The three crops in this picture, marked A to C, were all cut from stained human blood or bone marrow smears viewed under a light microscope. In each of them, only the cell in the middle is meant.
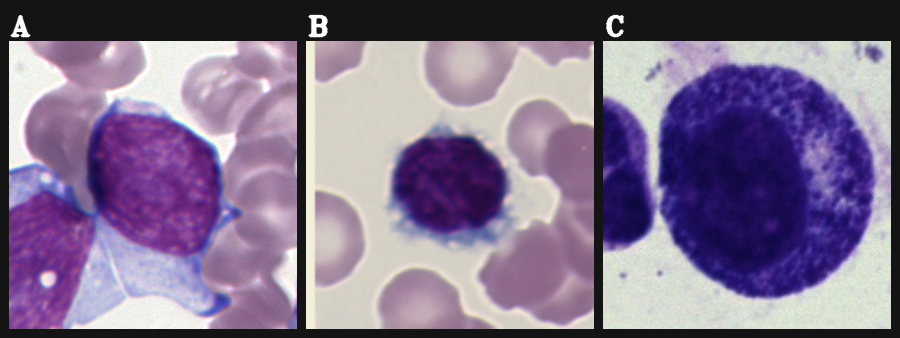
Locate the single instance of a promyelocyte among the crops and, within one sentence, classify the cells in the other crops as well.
Placed in the middle of crop C is a promyelocyte, while crop A is a blast and crop B is a hairy cell.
